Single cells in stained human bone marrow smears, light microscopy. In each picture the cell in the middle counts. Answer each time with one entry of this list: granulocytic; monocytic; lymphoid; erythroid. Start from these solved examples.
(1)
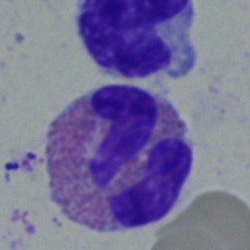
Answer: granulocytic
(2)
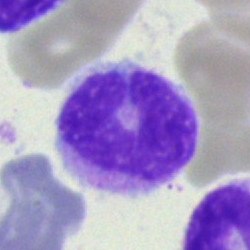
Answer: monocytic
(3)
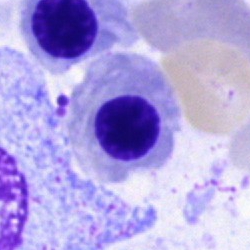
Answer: erythroid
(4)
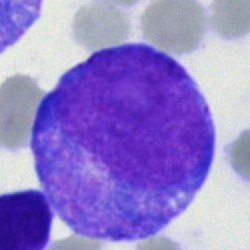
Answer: granulocytic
